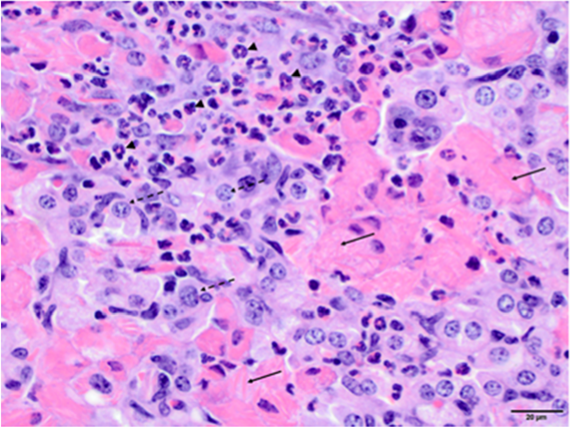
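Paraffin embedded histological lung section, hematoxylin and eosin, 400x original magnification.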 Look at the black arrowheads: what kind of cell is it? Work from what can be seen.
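Neutrophils. The marked cells are small, with dark, segmented, multilobed nuclei. They lie densely clustered together in the upper part of the field.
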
